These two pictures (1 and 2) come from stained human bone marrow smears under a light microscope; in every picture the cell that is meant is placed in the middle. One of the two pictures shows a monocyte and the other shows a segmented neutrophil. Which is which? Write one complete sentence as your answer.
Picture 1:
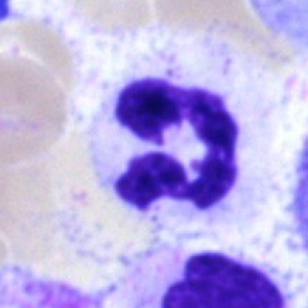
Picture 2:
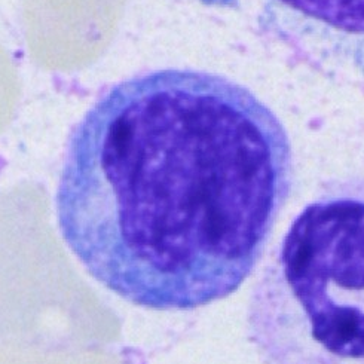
It is picture 1 that shows a segmented neutrophil, and picture 2 that shows a monocyte.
